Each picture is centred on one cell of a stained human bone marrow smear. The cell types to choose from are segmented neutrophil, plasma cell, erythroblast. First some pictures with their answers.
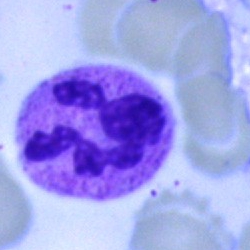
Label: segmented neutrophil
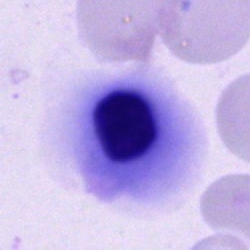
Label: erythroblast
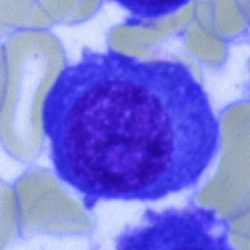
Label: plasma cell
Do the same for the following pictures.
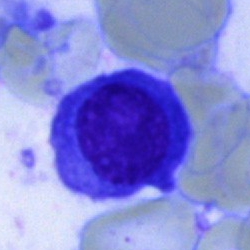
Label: plasma cell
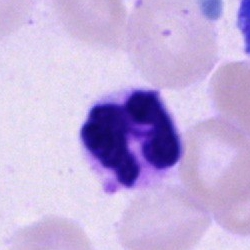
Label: segmented neutrophil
